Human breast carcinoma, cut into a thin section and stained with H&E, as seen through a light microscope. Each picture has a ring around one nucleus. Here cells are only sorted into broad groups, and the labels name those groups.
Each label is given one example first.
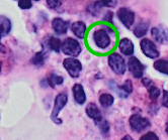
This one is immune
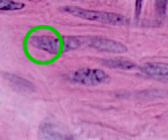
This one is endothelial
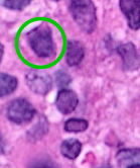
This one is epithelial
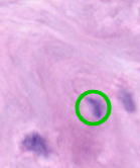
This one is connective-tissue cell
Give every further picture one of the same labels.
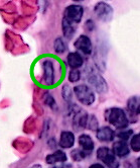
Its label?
endothelial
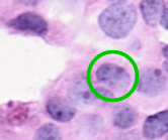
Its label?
epithelial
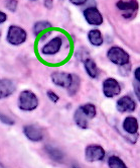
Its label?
immune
